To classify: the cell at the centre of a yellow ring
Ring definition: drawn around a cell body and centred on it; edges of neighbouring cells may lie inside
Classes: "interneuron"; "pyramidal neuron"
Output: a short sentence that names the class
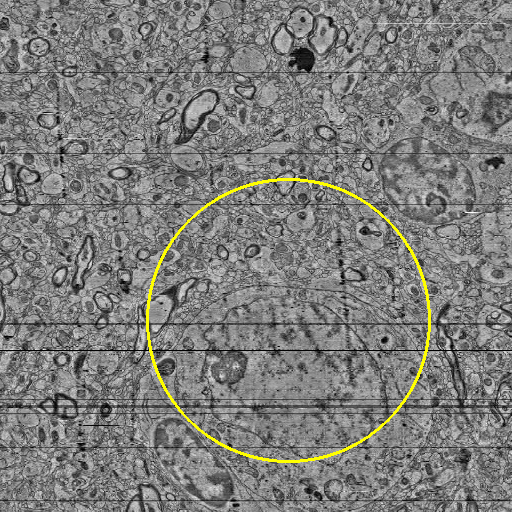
The ringed cell is a pyramidal neuron.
